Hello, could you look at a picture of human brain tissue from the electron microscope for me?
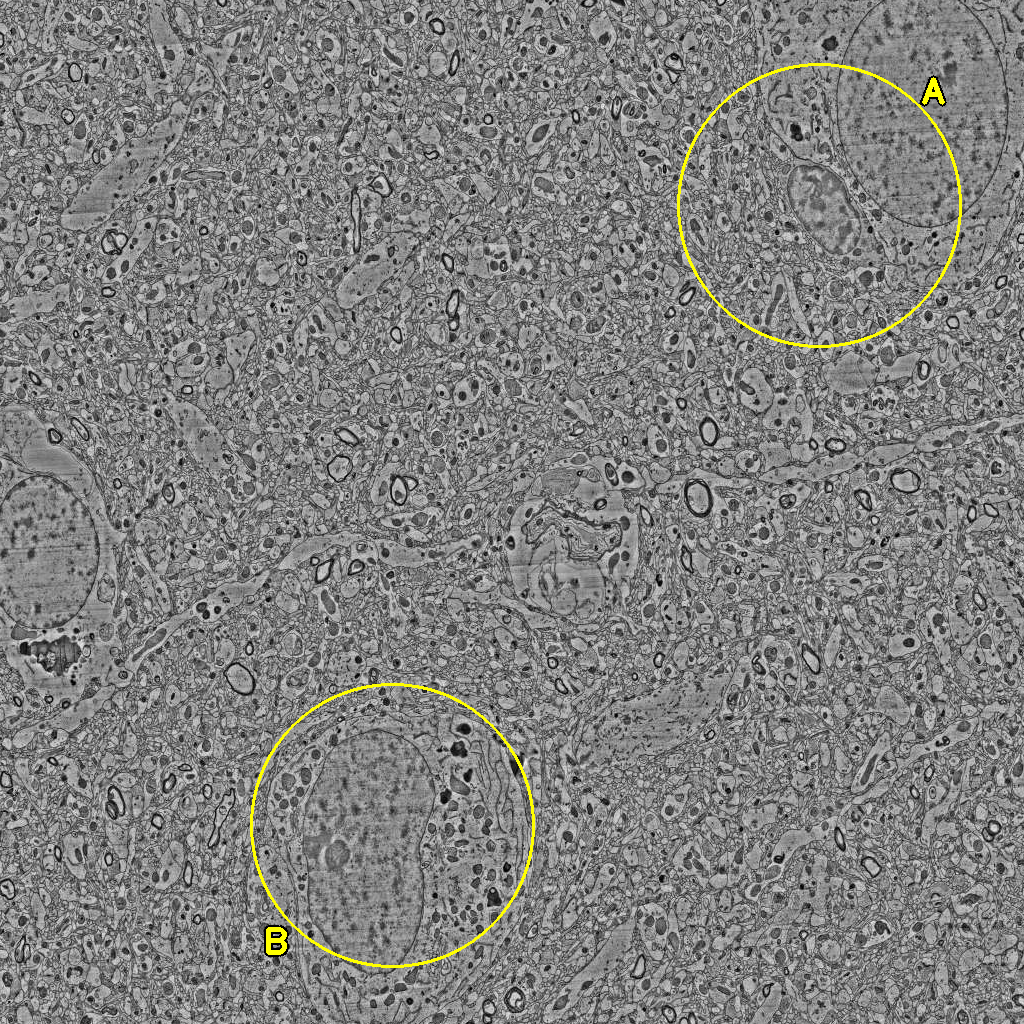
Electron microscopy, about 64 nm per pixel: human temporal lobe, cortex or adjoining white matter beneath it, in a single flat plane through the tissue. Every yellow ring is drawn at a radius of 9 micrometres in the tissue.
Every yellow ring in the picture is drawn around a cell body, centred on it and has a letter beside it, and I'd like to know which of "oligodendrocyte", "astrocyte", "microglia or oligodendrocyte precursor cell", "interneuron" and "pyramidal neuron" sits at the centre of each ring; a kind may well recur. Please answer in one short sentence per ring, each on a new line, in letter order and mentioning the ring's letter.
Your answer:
The cell sitting at the centre of ring A is an oligodendrocyte.
The cell sitting at the centre of ring B is an interneuron.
